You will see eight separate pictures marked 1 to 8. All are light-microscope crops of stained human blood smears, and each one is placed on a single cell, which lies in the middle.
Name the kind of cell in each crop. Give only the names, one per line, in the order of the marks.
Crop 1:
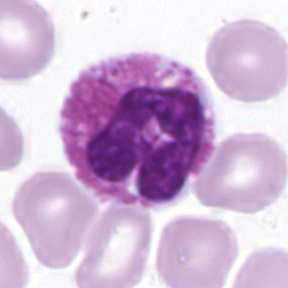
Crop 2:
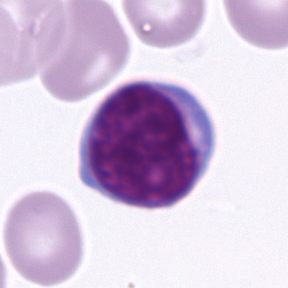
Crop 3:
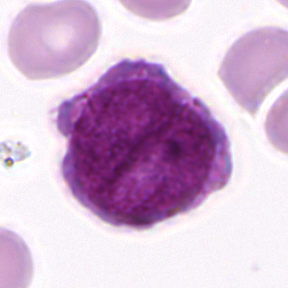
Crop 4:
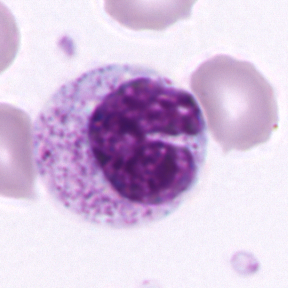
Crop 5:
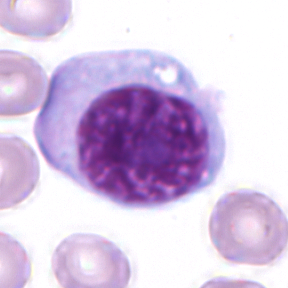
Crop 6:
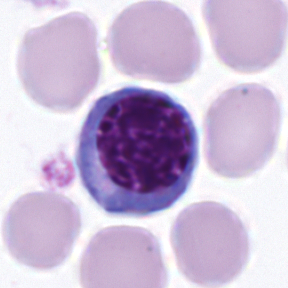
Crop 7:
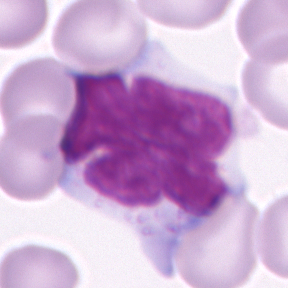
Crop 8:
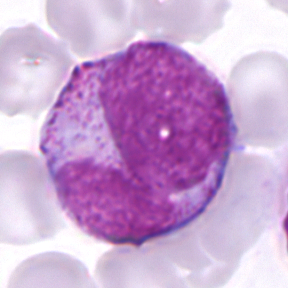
eosinophil
typical lymphocyte
atypical promyelocyte
band neutrophil
plasma cell
erythroblast
large granular lymphocyte
promyelocyte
